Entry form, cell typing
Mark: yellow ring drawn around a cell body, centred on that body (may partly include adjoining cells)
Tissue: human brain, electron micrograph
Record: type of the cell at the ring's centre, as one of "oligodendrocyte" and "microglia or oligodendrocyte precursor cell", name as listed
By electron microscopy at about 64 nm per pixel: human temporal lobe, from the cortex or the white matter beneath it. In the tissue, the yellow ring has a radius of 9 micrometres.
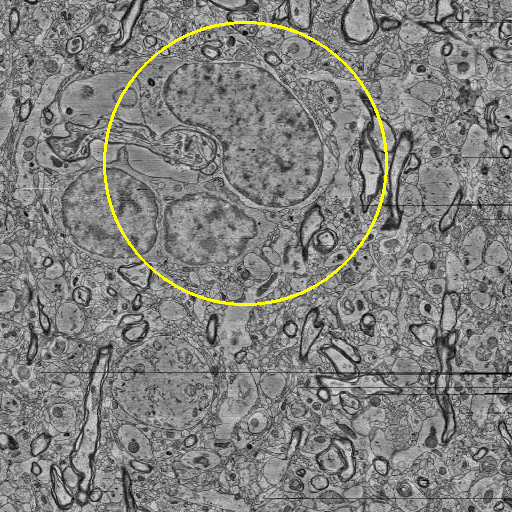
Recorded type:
microglia or oligodendrocyte precursor cell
